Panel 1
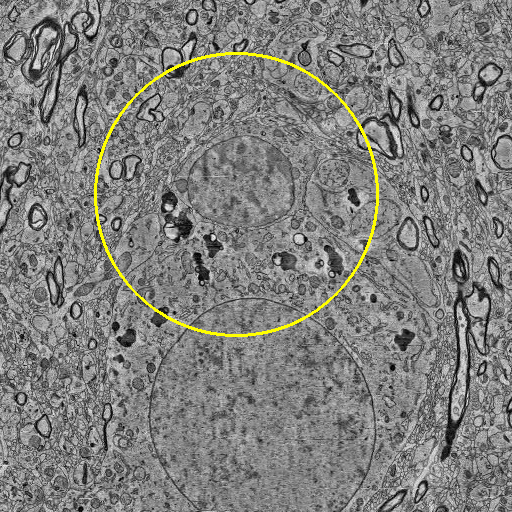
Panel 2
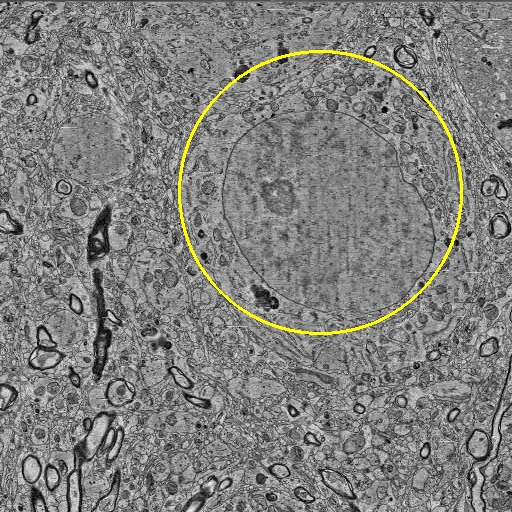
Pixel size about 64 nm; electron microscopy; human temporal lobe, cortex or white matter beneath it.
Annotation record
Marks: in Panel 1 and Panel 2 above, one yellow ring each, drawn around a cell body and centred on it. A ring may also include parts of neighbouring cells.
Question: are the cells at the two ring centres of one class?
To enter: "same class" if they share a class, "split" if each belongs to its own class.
split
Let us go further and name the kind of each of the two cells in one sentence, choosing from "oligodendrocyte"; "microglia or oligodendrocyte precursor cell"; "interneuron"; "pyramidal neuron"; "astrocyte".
The ring of the first picture is on an oligodendrocyte, the ring of the second on an interneuron.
